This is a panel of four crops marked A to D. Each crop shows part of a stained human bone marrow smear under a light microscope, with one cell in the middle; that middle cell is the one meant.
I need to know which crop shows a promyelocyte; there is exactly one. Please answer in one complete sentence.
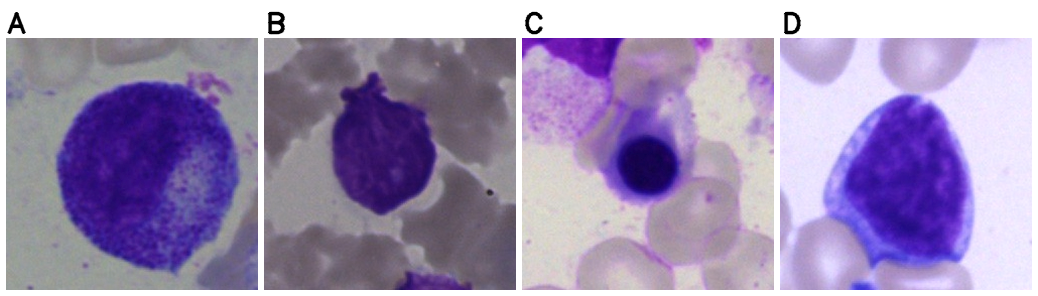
The cell identified as a promyelocyte is the one in crop A.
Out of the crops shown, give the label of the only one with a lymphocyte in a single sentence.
The crop in which a lymphocyte is shown is crop B.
